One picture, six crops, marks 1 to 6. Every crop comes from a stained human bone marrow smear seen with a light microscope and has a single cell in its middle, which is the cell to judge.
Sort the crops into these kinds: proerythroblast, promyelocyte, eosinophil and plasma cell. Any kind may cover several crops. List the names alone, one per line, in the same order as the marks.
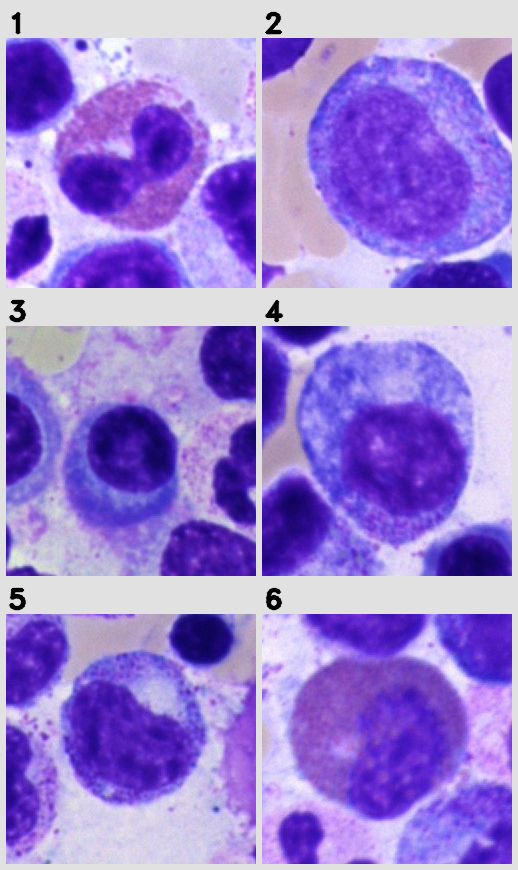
eosinophil
promyelocyte
plasma cell
promyelocyte
promyelocyte
eosinophil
